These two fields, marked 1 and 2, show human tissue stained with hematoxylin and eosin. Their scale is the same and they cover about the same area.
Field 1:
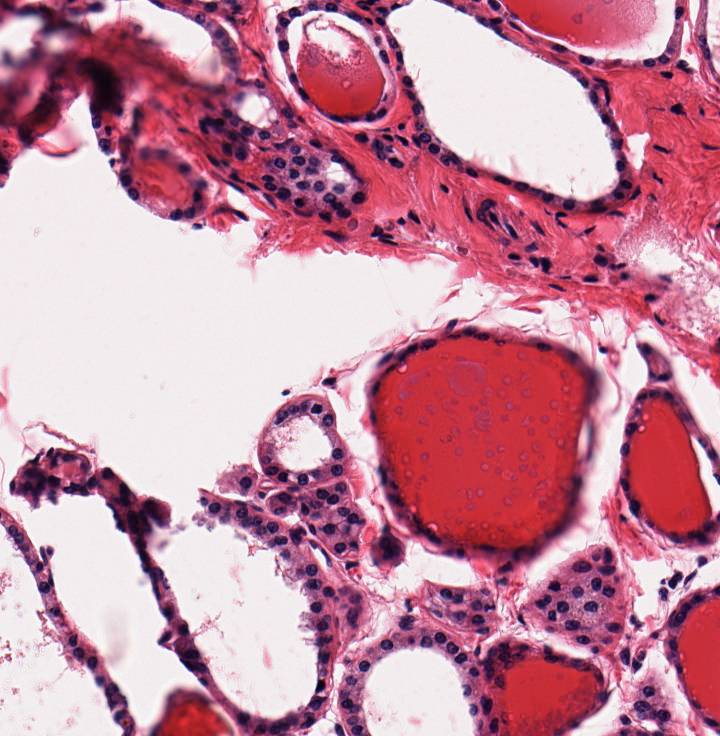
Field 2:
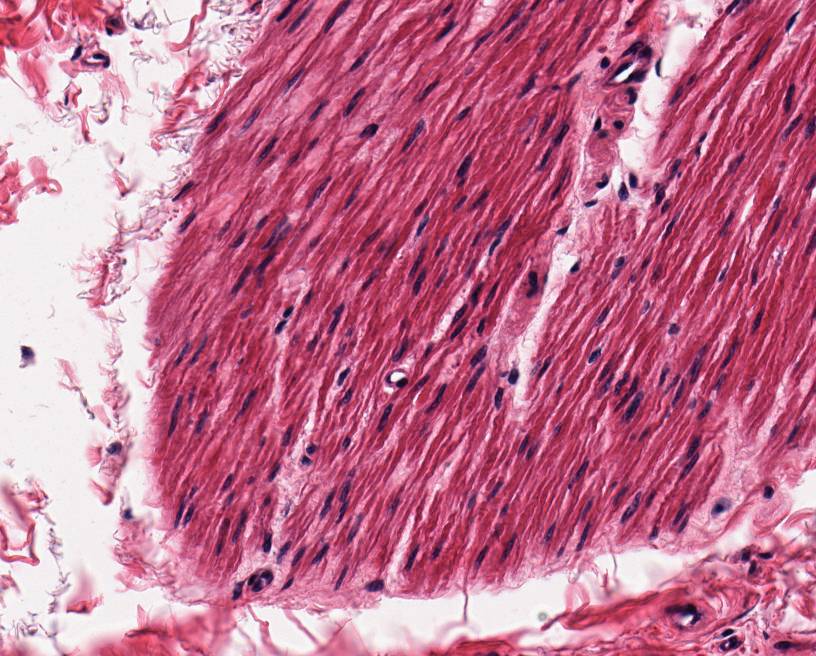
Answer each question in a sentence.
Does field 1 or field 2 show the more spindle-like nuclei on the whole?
It is field 2 whose nuclei are the more elongated.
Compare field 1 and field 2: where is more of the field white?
More of field 1 is empty and white.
